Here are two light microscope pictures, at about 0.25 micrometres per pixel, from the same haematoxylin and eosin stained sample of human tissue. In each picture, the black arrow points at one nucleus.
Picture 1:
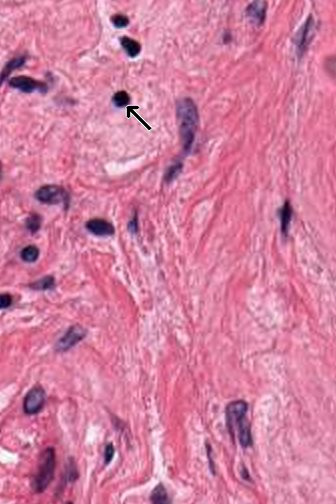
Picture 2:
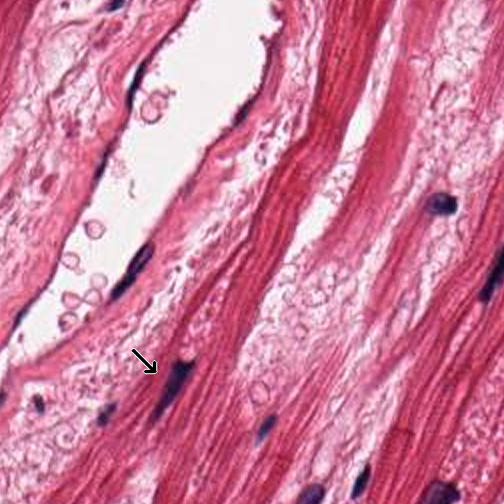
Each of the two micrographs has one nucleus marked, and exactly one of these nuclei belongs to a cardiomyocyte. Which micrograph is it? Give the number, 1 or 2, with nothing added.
2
